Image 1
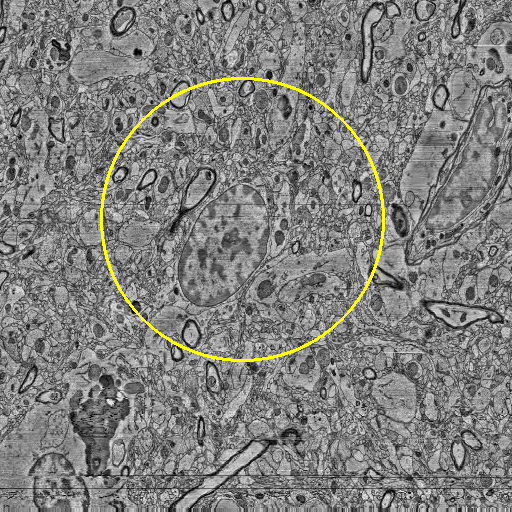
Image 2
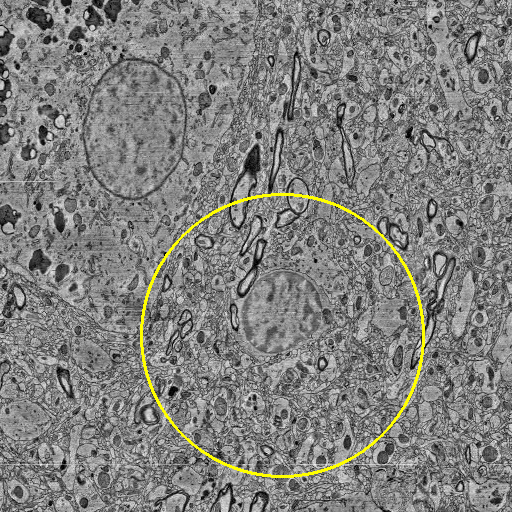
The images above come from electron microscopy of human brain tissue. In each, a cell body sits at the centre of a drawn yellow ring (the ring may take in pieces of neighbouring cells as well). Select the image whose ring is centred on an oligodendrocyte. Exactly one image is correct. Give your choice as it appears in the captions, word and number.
Image 2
